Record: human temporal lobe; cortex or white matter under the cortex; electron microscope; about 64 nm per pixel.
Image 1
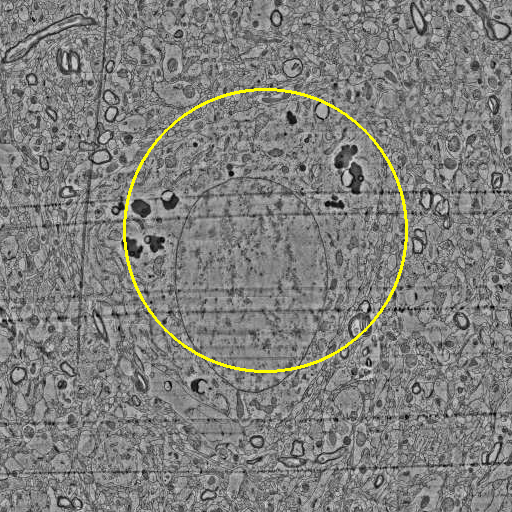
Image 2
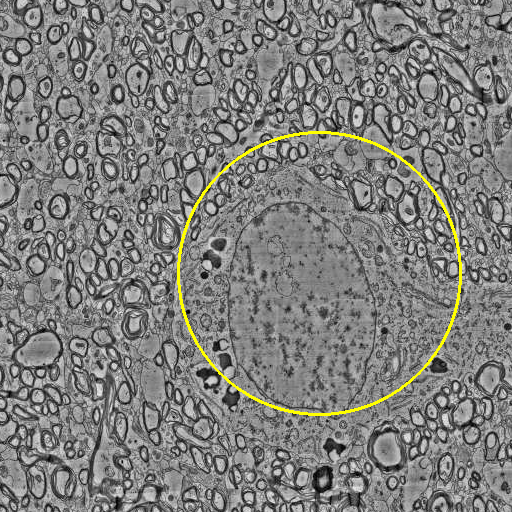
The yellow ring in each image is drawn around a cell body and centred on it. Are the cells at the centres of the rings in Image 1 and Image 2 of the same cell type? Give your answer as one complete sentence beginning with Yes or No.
Yes, both cells are of the same type.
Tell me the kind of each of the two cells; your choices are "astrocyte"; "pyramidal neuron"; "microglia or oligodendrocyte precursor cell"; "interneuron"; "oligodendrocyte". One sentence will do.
In each picture the ringed cell is a pyramidal neuron.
